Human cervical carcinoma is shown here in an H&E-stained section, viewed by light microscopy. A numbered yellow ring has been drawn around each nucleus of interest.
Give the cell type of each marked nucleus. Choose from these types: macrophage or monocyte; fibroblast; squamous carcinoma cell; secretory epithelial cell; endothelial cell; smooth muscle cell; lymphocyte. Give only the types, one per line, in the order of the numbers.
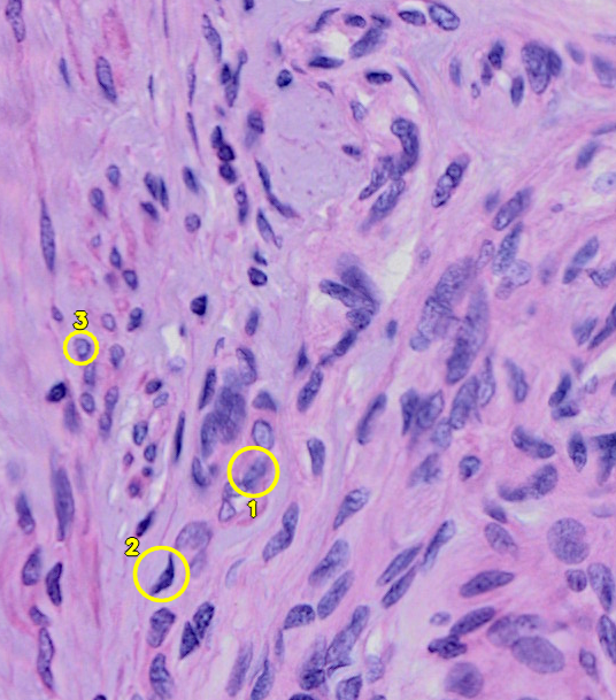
endothelial cell
fibroblast
smooth muscle cell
